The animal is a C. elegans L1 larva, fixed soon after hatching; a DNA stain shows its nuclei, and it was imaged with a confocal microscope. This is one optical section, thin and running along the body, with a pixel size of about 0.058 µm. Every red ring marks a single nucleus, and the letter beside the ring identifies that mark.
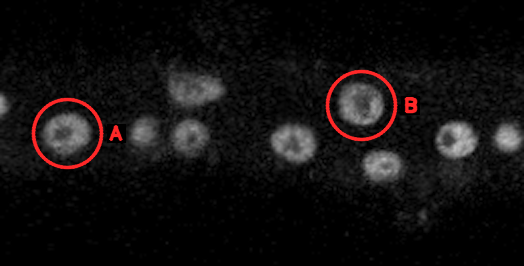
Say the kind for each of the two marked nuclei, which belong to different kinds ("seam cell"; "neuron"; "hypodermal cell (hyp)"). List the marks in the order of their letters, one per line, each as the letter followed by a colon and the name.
A: seam cell
B: hypodermal cell (hyp)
